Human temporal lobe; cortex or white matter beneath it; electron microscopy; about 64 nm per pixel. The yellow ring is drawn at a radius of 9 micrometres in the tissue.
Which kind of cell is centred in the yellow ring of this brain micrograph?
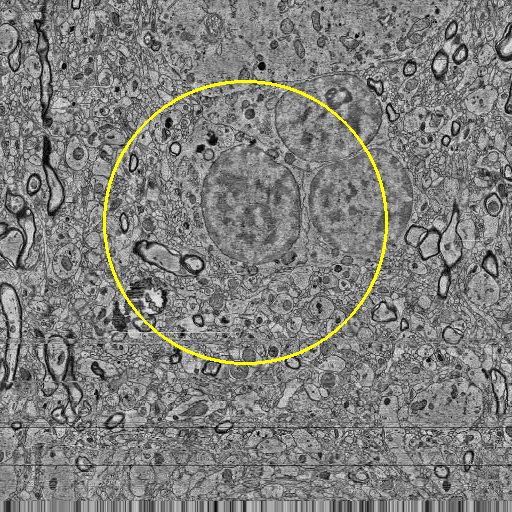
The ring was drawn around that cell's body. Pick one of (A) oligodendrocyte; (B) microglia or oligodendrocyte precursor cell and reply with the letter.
A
